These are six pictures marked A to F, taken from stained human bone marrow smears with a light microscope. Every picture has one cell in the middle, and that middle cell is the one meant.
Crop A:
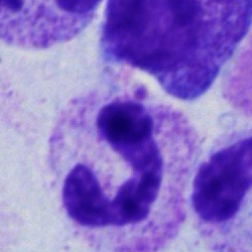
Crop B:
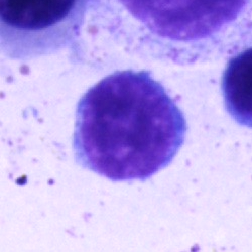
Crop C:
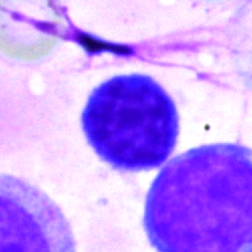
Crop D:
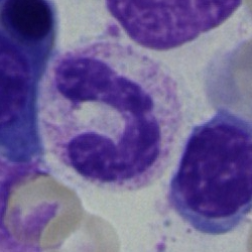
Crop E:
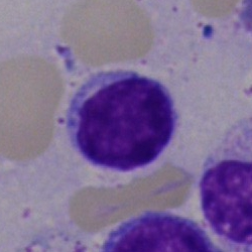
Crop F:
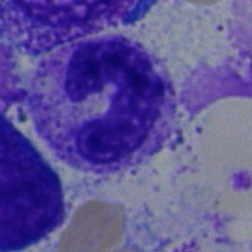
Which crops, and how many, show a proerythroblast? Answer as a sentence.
The tally is zero; none of the crops shows proerythroblasts.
